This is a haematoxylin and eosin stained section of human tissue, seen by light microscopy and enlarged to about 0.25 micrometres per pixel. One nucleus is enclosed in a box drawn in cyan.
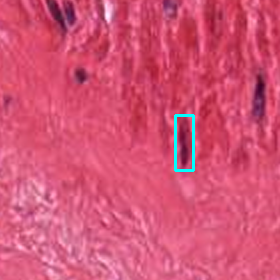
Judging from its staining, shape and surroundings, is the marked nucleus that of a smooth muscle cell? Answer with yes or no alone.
yes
